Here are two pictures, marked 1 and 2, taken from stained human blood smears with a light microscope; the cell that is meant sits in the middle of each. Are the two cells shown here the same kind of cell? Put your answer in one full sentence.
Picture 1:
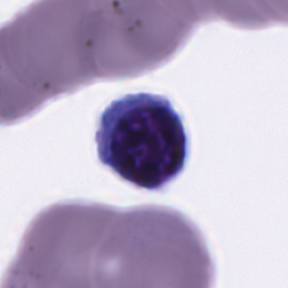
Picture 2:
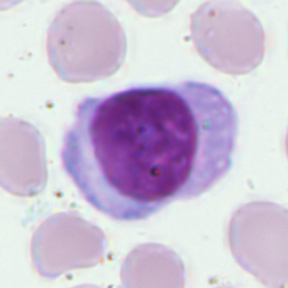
Yes; the cells in both pictures are plasma cells.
